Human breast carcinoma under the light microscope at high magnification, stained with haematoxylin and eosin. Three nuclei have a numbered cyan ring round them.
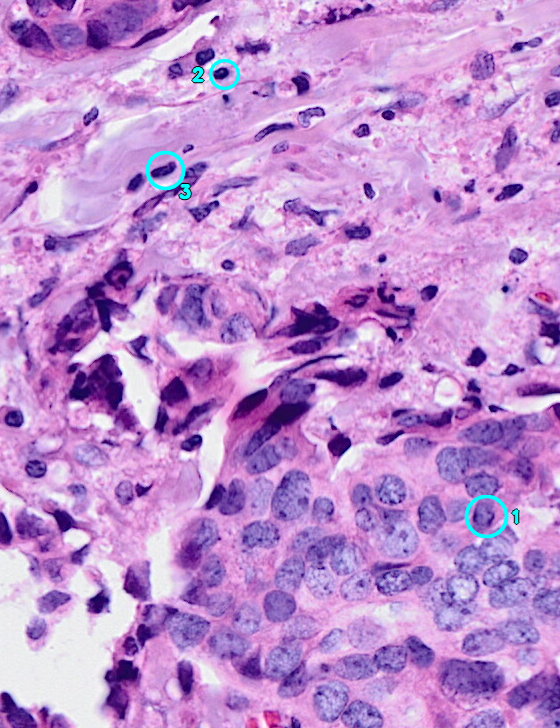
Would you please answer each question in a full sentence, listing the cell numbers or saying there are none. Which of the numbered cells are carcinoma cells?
It is cell 1, and no other numbered cell, that is a carcinoma cell.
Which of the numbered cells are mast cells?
Each of the numbered cells is a cell other than one of the mast cells.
